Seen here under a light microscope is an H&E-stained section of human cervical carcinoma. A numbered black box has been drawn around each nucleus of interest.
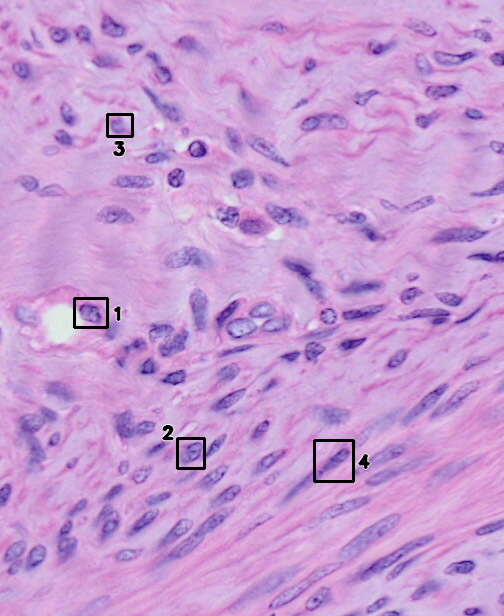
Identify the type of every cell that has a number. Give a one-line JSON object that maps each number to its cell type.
{"1": "endothelial cell", "2": "smooth muscle cell", "3": "smooth muscle cell", "4": "smooth muscle cell"}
